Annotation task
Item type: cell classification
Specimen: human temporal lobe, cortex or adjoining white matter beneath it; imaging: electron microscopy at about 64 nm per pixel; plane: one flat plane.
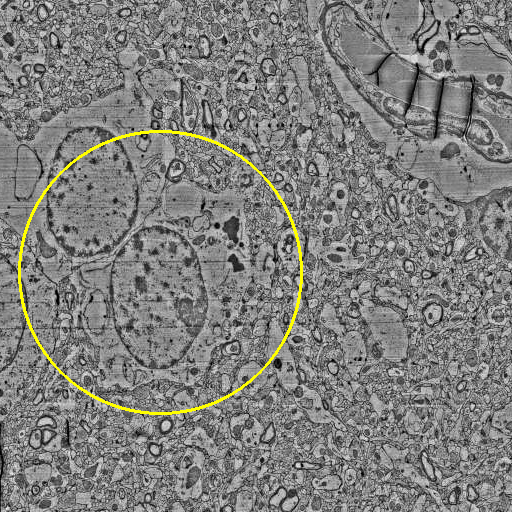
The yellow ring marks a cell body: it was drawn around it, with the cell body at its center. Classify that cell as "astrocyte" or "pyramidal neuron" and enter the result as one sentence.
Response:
The ring's center falls on an astrocyte.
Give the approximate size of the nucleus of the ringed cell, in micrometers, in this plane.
Approximately 9 micrometres long and 6 micrometres wide, in this plane.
